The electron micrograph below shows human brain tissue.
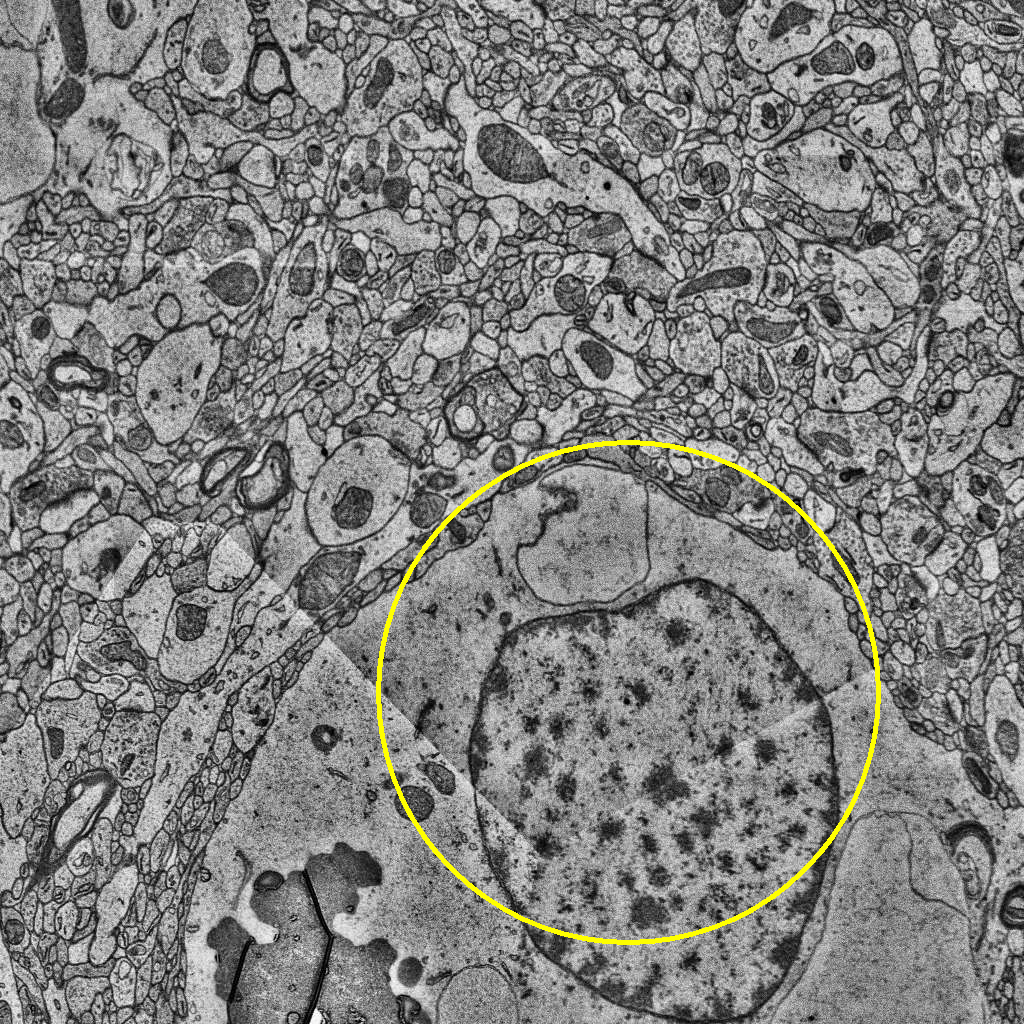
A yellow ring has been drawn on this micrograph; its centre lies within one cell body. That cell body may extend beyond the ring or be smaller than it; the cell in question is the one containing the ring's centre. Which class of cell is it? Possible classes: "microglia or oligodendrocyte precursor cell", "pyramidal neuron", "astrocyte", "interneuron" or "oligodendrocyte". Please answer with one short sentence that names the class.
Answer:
In the centre of the ring sits an astrocyte.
